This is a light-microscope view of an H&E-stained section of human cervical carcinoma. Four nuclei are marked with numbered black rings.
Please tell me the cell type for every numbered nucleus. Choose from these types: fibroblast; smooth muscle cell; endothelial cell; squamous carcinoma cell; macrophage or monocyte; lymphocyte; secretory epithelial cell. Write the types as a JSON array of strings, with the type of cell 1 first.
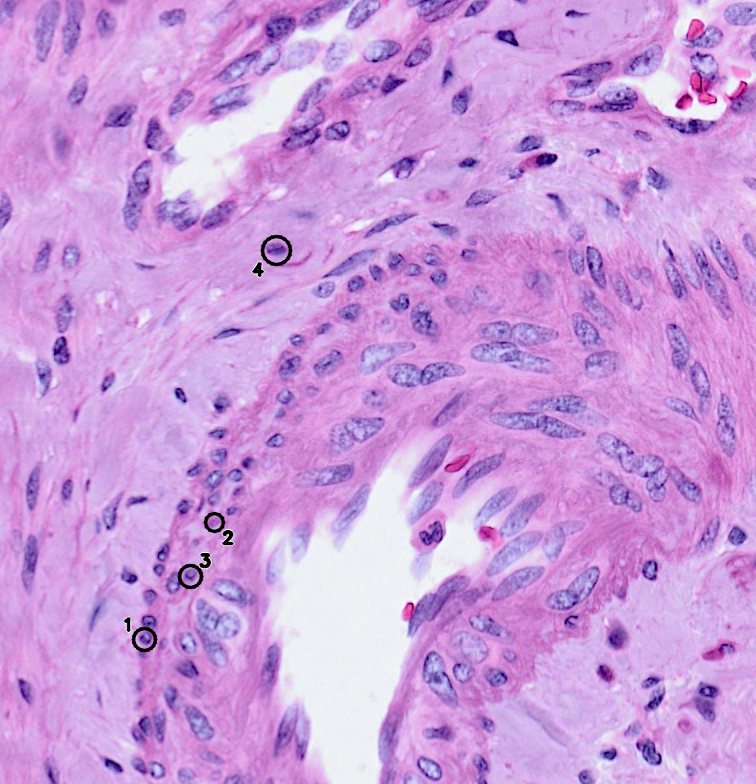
["smooth muscle cell", "smooth muscle cell", "smooth muscle cell", "fibroblast"]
